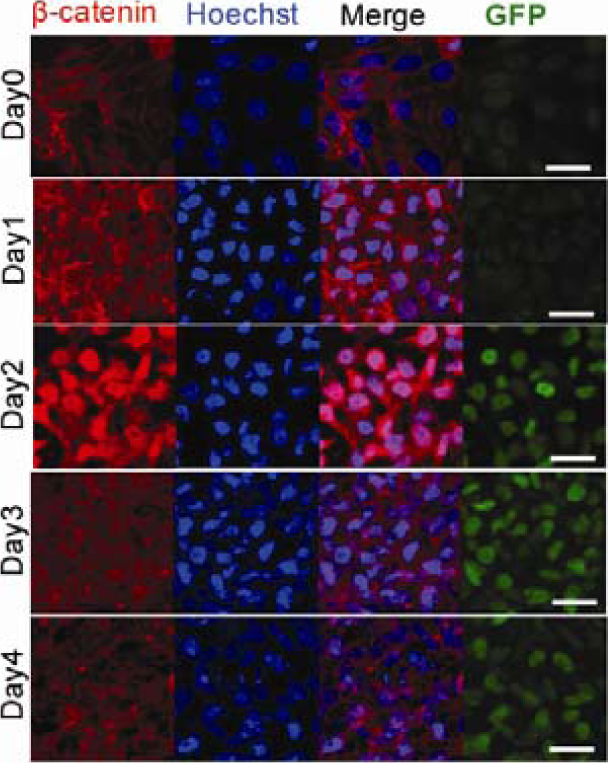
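The blue nuclei are round to oval and crowded together in a flat sheet. In the top row the red stain mostly lines the cell borders, outlining the cells like a mesh. In the middle row the red is bright, fills whole cells and overlaps the nuclei. In the lower rows the red is faint. The green signal is absent in the top two rows, then appears in the nuclei and stays there in the lower rows.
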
